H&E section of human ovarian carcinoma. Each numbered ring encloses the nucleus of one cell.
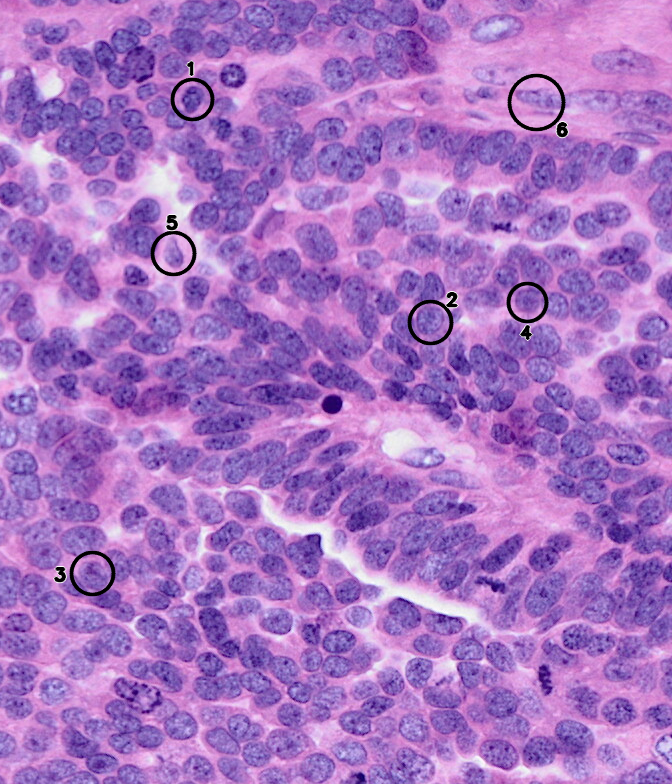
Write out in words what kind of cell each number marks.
Cell 1 is a carcinoma cell, cell 2 is a carcinoma cell, cell 3 is a carcinoma cell, cell 4 is a carcinoma cell, cell 5 is a macrophage or monocyte and cell 6 is a fibroblast.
